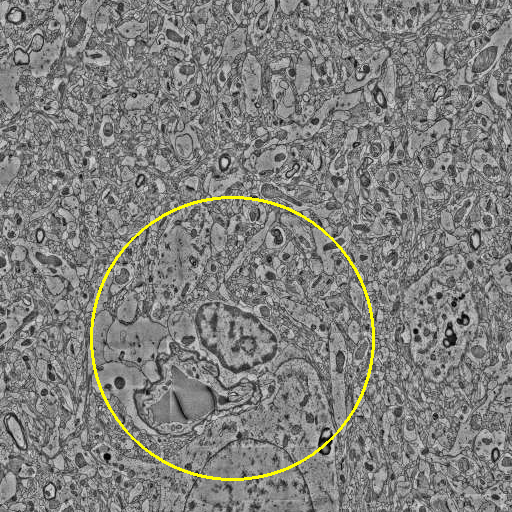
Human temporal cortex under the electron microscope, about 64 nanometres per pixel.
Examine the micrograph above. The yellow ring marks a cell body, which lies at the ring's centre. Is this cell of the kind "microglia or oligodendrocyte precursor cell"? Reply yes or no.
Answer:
yes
